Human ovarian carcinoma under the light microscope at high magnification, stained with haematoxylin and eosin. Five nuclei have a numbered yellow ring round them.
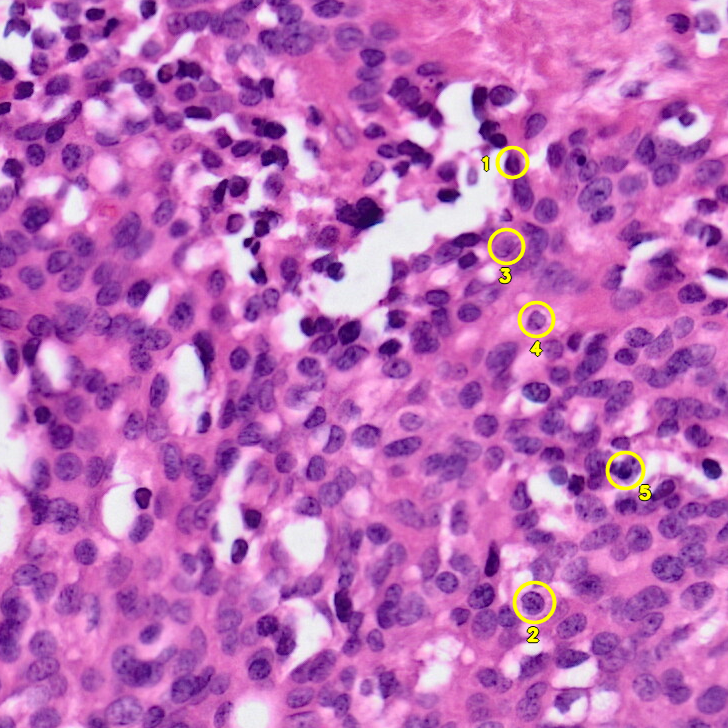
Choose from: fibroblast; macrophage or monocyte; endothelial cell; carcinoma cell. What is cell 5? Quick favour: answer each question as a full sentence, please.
In this section, the cell tagged 5 is a macrophage or monocyte.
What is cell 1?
Cell 1 is classified as a carcinoma cell.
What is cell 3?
Numbered cell 3 is a carcinoma cell in this tissue section.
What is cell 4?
The marked cell bearing number 4 is a macrophage or monocyte.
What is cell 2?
The nucleus labeled 2 belongs to a macrophage or monocyte.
